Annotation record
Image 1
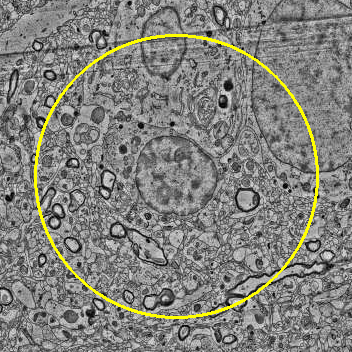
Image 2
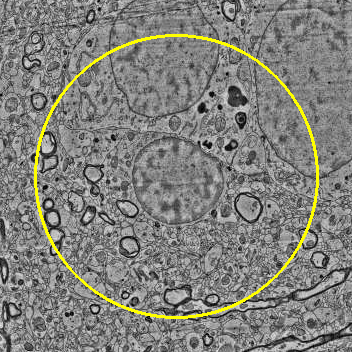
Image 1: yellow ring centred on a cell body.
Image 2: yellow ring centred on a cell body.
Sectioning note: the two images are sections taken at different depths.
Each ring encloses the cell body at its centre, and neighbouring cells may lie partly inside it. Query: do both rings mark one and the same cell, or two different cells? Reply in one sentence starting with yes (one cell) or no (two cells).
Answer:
Yes, both yellow rings mark one and the same cell.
